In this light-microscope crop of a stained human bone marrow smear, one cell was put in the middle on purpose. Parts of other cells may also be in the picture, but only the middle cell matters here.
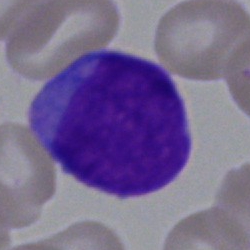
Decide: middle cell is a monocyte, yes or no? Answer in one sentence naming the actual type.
No, looking at the central cell, it is a blast rather than a monocyte.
